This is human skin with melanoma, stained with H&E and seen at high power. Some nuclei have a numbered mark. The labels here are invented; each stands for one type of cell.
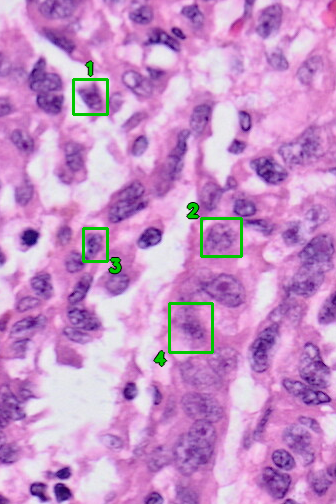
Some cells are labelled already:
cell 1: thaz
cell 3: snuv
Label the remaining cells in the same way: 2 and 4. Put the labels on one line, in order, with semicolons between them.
thaz; thaz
